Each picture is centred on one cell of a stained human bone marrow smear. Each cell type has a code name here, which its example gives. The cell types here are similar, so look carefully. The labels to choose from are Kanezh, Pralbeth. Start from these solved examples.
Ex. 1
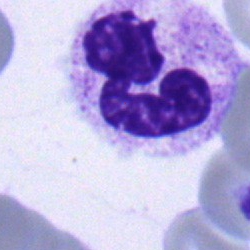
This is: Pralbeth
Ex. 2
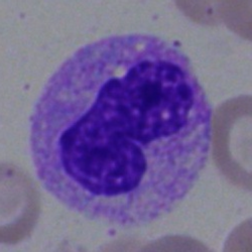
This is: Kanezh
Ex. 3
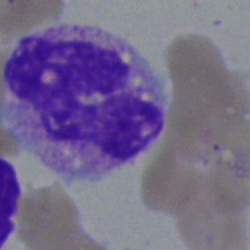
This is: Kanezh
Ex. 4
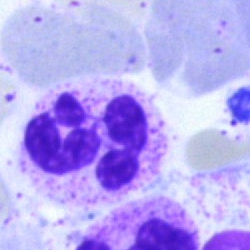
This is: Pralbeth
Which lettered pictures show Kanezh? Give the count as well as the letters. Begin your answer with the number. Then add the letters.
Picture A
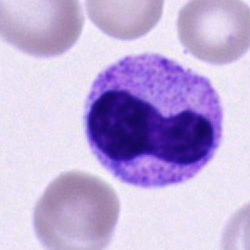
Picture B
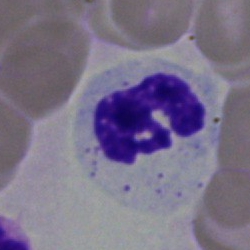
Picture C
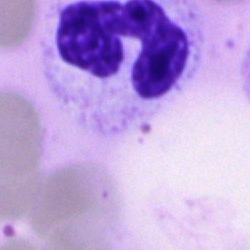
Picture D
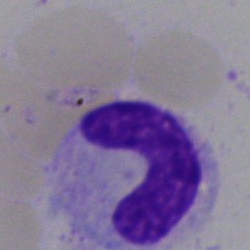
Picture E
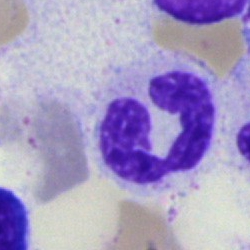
3: A, C, D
